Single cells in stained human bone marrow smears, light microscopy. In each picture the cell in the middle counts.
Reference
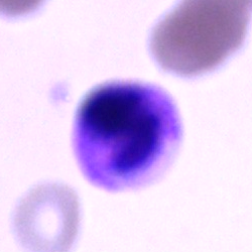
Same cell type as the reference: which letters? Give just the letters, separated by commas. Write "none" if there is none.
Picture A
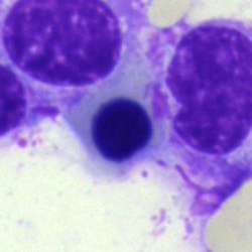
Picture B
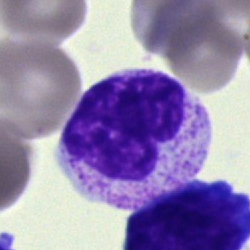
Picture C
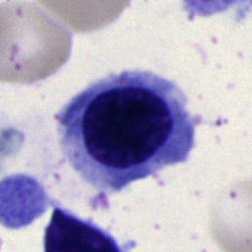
none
